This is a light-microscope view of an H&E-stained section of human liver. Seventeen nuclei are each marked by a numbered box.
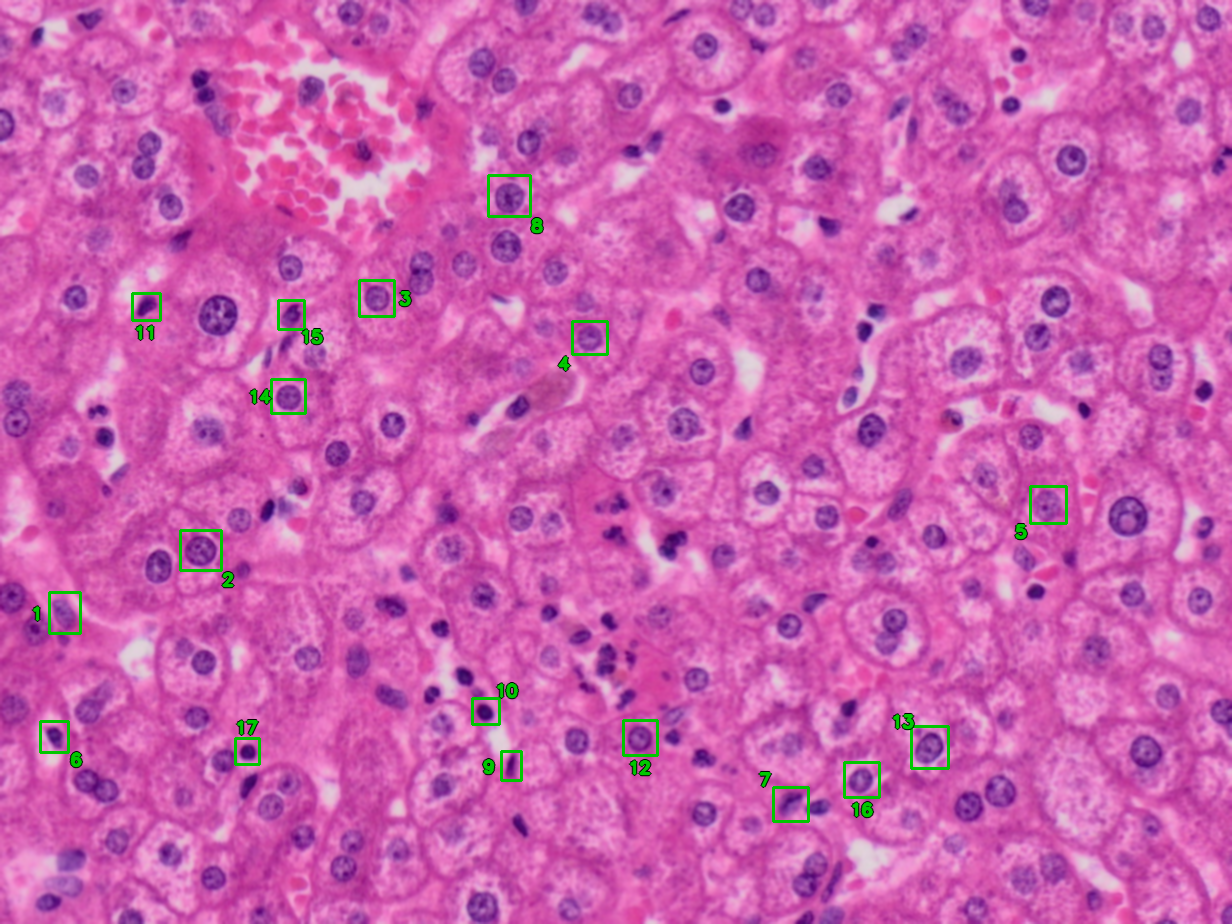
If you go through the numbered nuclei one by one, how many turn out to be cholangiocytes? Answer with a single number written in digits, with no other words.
0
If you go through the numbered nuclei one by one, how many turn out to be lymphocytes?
3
